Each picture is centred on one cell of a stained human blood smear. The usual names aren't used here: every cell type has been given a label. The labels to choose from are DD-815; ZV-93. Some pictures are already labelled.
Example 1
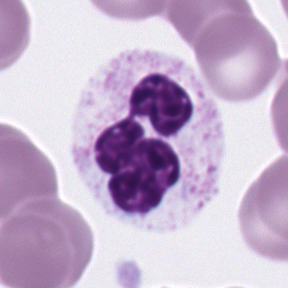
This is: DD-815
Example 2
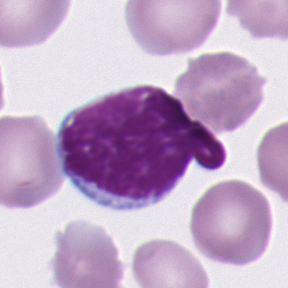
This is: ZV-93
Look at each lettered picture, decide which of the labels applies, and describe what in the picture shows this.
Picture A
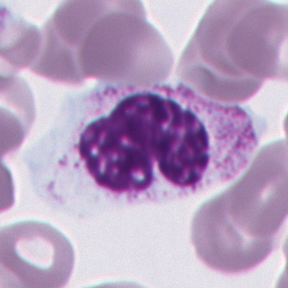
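DD-815. The cytoplasm is abundant and very pale greyish-blue.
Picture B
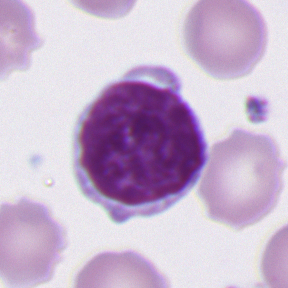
ZV-93. The cytoplasm is a narrow rim of very pale lavender-blue.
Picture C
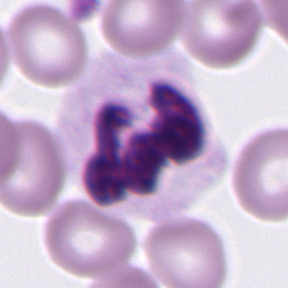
DD-815. The nucleus is divided into several lobes joined in a chain.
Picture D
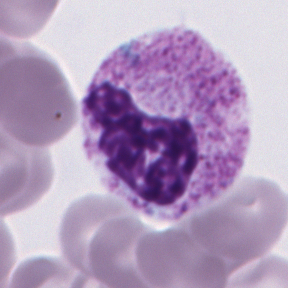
DD-815. The cytoplasm is abundant with a pale pink background.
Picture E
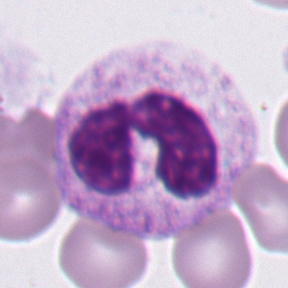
DD-815. The two nuclear lobes are joined by a narrow bridge at the top.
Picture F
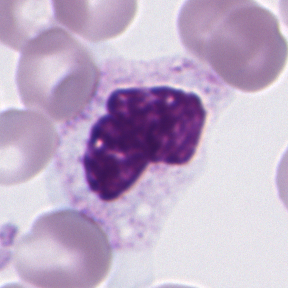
DD-815. Cytoplasm is abundant and surrounds the nucleus on all sides, broadest below it.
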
